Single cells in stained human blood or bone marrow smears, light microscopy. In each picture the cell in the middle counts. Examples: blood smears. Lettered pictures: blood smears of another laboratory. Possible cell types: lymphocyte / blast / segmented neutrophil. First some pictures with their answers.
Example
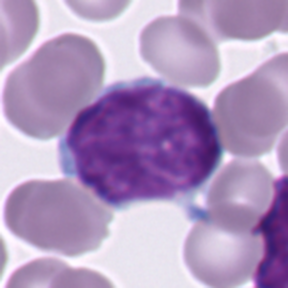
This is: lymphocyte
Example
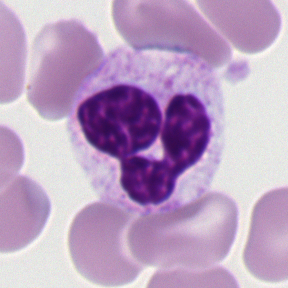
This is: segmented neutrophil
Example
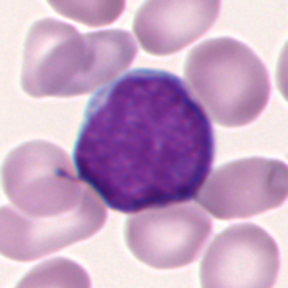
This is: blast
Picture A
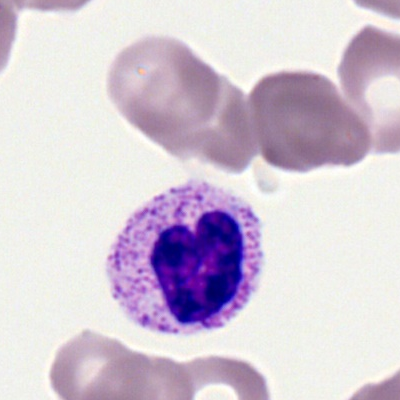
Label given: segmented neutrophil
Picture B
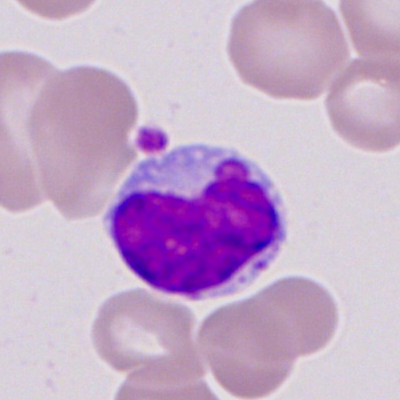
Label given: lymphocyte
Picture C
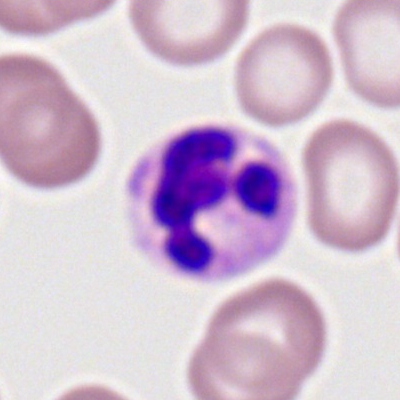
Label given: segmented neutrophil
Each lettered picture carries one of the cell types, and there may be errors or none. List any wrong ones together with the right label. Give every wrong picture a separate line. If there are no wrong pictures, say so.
All labels are correct.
